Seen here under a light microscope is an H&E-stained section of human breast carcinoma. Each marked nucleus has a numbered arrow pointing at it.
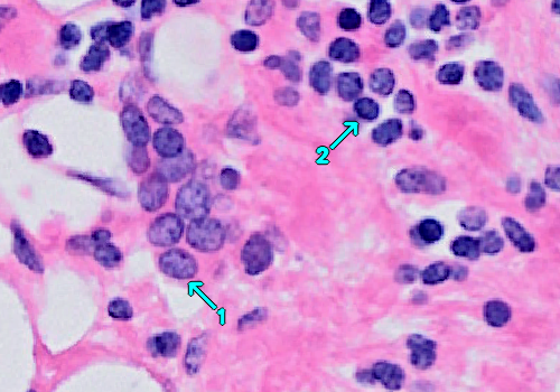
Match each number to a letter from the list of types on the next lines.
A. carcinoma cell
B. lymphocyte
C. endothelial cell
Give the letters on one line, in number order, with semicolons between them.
A; B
